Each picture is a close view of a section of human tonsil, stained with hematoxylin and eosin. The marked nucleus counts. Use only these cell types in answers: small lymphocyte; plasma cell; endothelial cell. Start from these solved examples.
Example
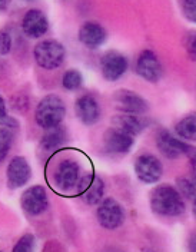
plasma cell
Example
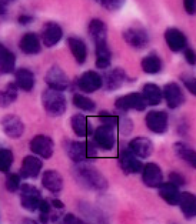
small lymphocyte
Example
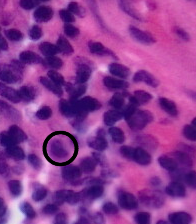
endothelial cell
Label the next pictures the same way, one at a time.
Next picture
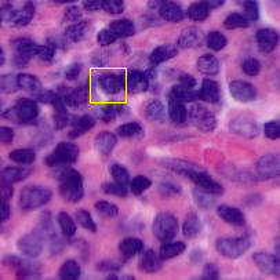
small lymphocyte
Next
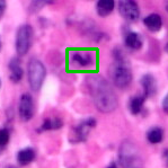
endothelial cell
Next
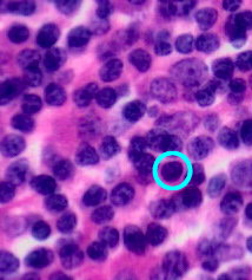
small lymphocyte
